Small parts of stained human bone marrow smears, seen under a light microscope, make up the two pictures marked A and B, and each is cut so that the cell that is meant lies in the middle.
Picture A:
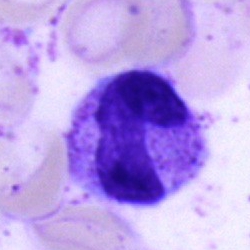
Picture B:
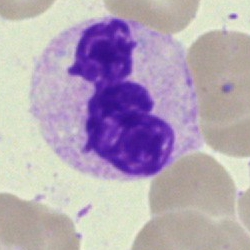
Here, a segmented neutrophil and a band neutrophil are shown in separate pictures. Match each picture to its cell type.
A: band neutrophil
B: segmented neutrophil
